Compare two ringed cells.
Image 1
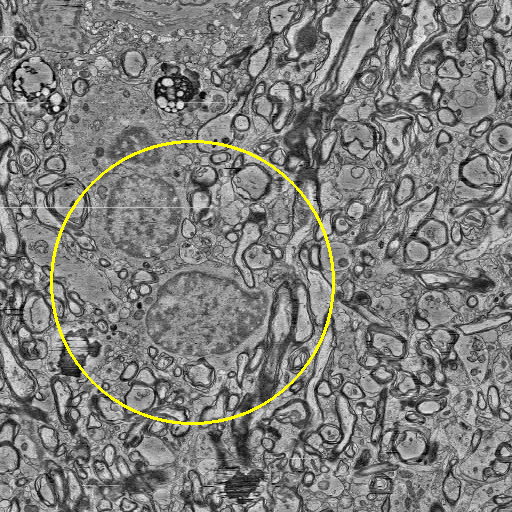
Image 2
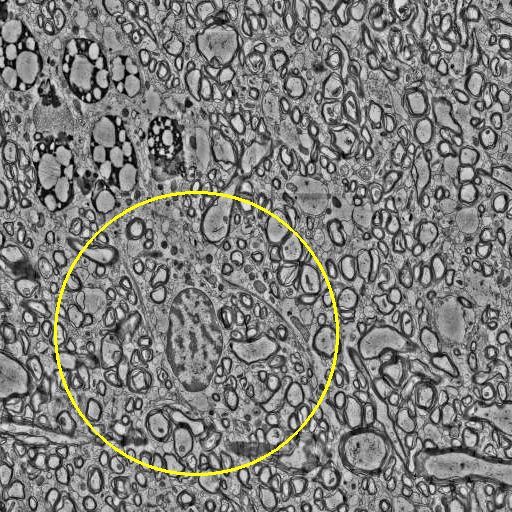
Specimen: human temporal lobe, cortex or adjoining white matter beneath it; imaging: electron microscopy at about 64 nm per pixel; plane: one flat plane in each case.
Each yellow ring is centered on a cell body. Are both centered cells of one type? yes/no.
no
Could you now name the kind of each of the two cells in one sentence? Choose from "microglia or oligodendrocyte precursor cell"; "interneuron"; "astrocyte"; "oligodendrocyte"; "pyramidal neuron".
The first ring encloses an oligodendrocyte; the second ring encloses a microglial cell or oligodendrocyte precursor cell.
